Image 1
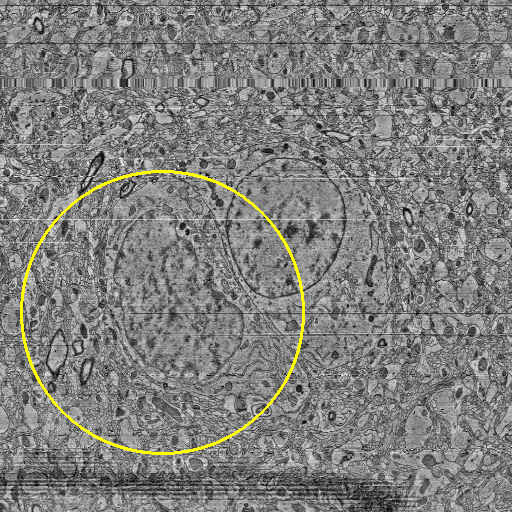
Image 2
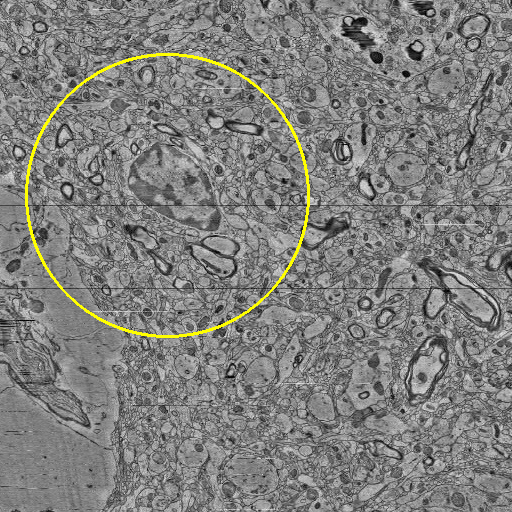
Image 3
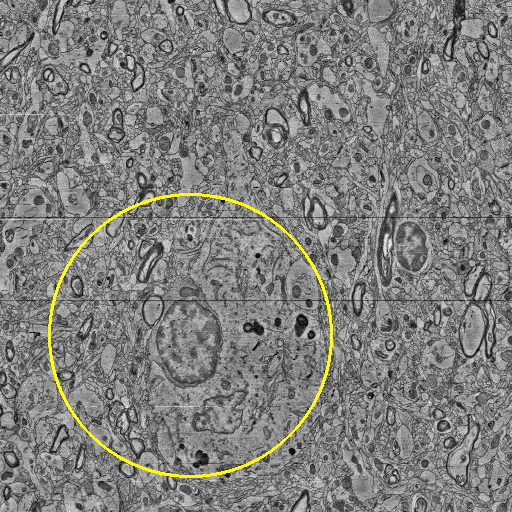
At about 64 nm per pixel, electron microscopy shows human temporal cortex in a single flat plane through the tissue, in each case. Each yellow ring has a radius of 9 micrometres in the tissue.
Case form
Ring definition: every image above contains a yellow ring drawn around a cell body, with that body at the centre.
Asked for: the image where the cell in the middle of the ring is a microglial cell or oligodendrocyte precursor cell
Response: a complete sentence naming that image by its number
Image 2 is the one.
